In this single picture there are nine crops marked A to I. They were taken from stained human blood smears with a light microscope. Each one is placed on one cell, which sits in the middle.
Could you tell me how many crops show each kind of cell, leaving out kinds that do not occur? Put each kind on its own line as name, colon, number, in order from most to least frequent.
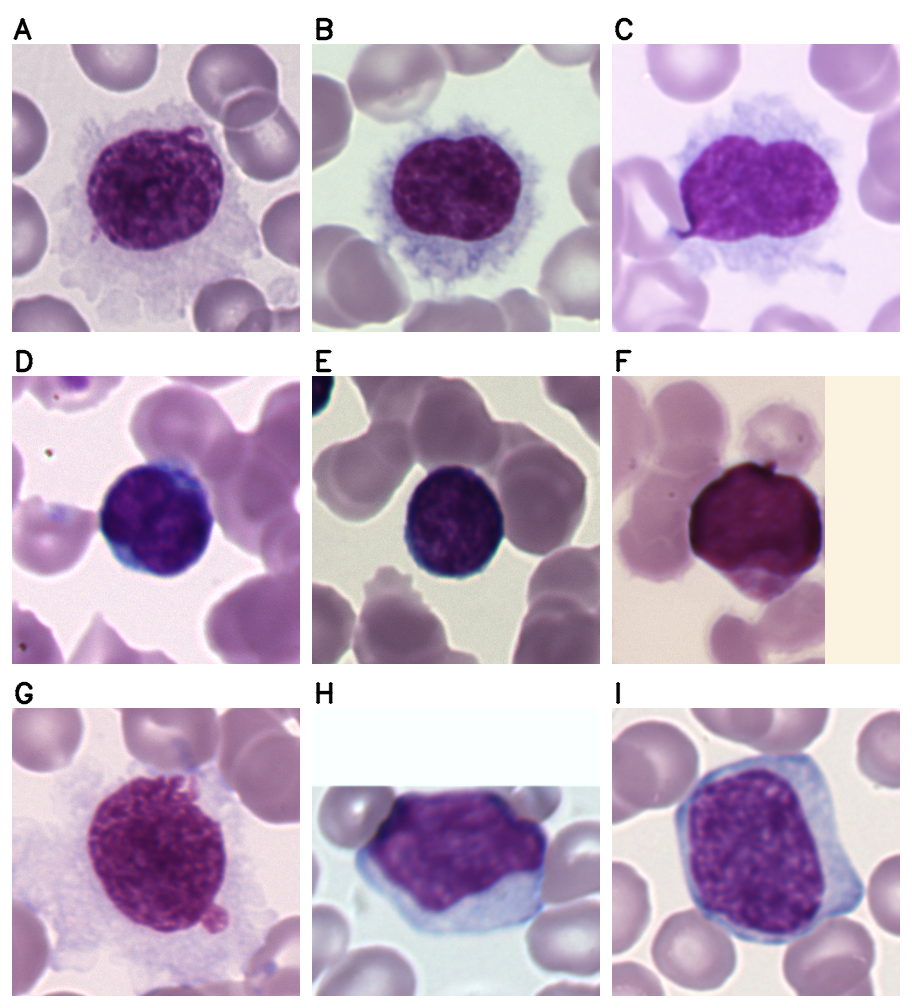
hairy cell: 4
myeloblast: 3
typical lymphocyte: 2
